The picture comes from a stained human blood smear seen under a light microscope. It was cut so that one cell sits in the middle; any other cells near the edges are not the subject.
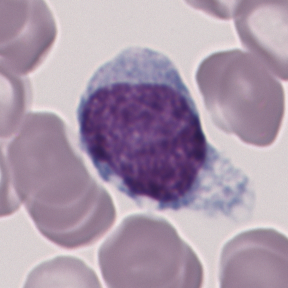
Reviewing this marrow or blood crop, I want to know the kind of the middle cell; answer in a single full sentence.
At the crop's centre, the cell is a monocyte.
